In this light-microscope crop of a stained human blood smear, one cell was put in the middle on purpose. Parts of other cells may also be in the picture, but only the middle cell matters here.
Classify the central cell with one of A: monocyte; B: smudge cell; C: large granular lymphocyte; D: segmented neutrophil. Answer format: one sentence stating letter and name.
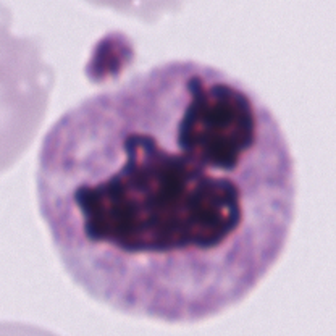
The centered cell is a segmented neutrophil, which is why option D is right.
